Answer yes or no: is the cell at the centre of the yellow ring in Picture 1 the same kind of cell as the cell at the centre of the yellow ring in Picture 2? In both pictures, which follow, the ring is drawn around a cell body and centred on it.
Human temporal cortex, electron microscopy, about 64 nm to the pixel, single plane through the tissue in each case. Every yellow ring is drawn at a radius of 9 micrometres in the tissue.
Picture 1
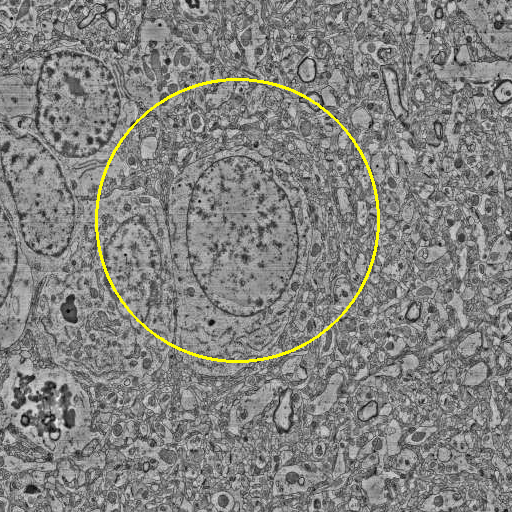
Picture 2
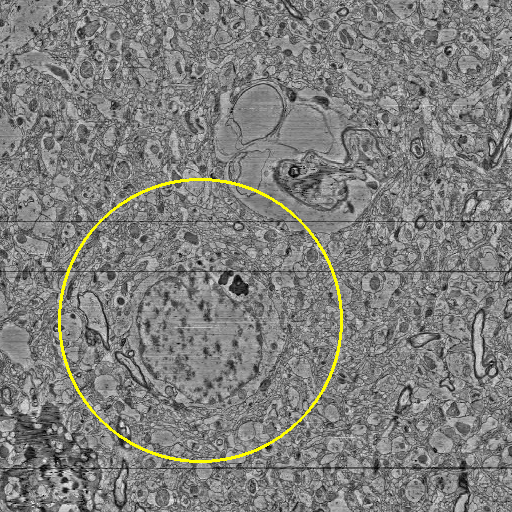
no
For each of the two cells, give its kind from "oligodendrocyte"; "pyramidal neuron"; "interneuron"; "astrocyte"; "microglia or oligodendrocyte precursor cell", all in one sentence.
The first picture has a pyramidal neuron in its ring, the second has an interneuron.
